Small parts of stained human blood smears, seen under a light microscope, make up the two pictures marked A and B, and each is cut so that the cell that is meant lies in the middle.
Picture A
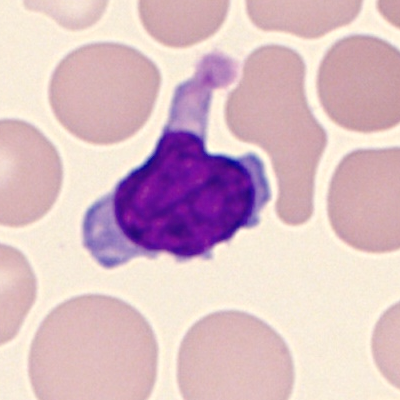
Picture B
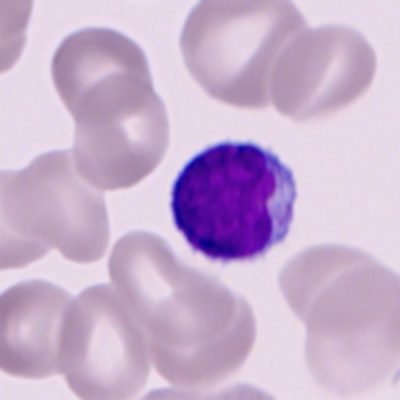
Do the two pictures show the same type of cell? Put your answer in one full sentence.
Yes, they are the same type: both are lymphocytes.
